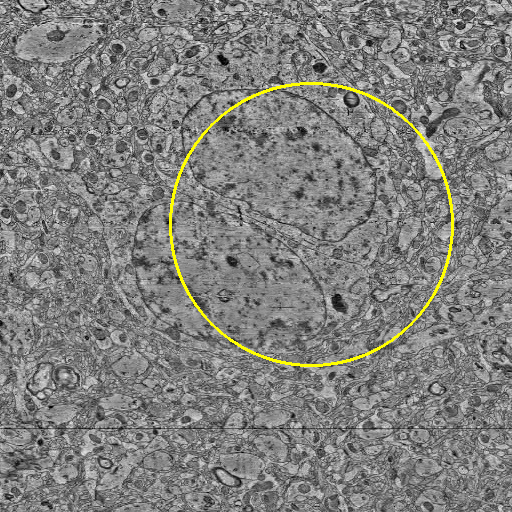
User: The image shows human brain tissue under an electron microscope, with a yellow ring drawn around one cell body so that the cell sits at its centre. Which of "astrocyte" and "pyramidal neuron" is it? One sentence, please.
At the centre of the ring sits a pyramidal neuron.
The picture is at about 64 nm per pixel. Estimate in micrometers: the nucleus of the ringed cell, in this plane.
About 13 by 8 micrometers in this plane, so the nucleus is clearly longer than it is wide.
